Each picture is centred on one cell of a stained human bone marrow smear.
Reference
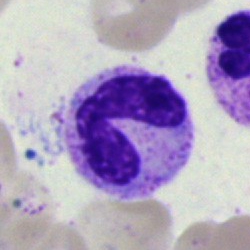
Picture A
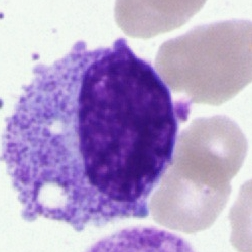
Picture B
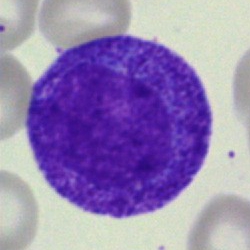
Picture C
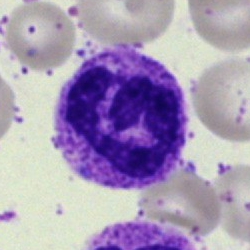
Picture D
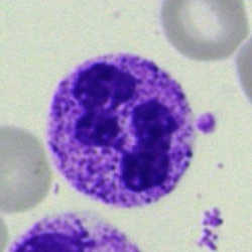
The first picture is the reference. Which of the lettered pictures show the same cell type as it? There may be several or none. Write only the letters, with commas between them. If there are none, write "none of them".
none of them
